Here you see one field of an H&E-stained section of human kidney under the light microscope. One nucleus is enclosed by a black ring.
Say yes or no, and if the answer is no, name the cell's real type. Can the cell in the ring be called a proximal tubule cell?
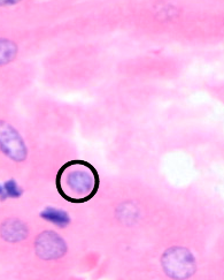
Yes.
